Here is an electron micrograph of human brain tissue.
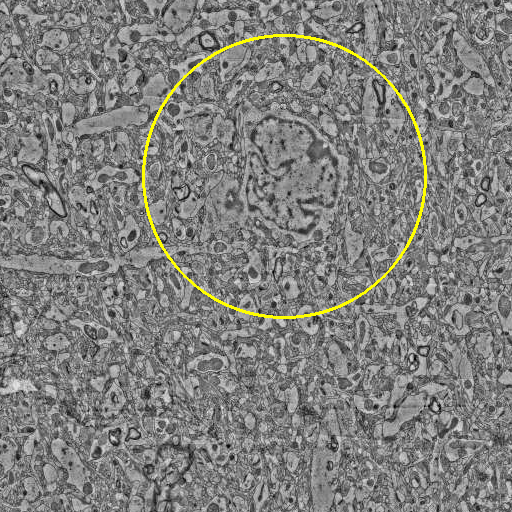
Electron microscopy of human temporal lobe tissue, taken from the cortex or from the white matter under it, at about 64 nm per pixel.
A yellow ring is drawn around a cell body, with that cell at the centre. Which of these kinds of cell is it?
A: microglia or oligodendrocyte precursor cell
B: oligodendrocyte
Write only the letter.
A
